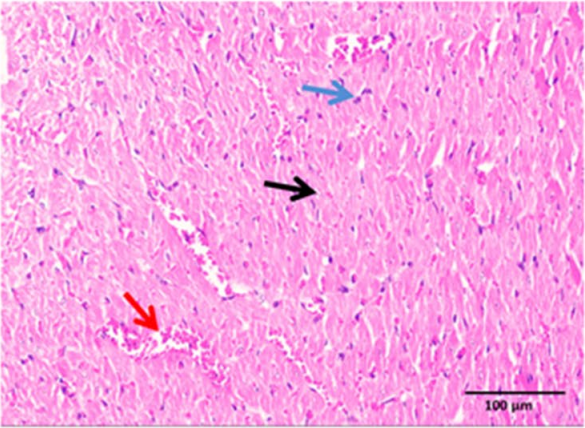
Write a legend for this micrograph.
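This is heart muscle whose architecture is disrupted: the cardiac muscle fibres are pale pink and broken into short, irregular fragments rather than long continuous bands. Blood vessels running through the tissue are widened and packed with red blood cells. Pale areas of necrotic tissue lie among the fibres, and scattered small dark nuclei of inflammatory cells lie between them.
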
